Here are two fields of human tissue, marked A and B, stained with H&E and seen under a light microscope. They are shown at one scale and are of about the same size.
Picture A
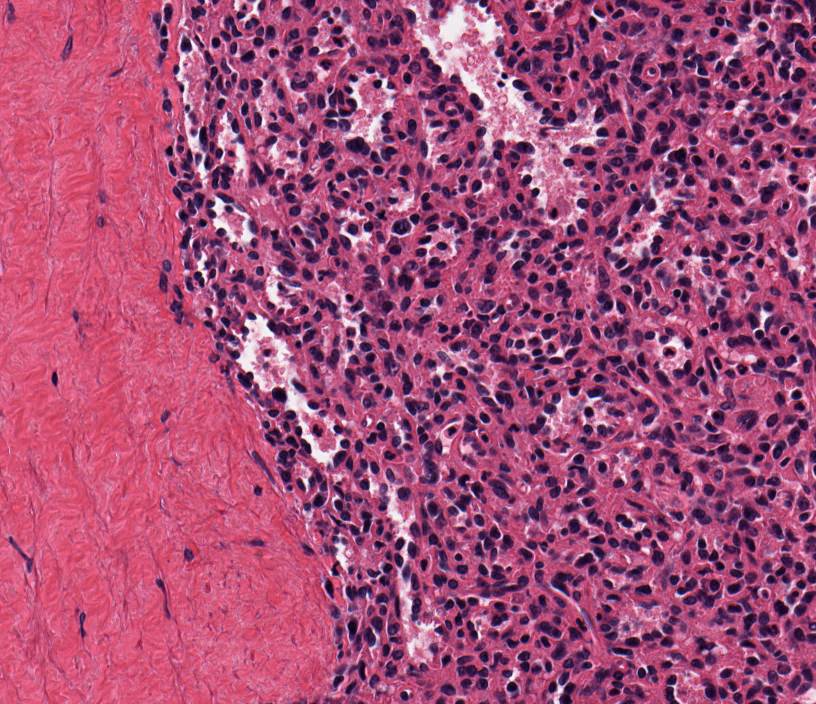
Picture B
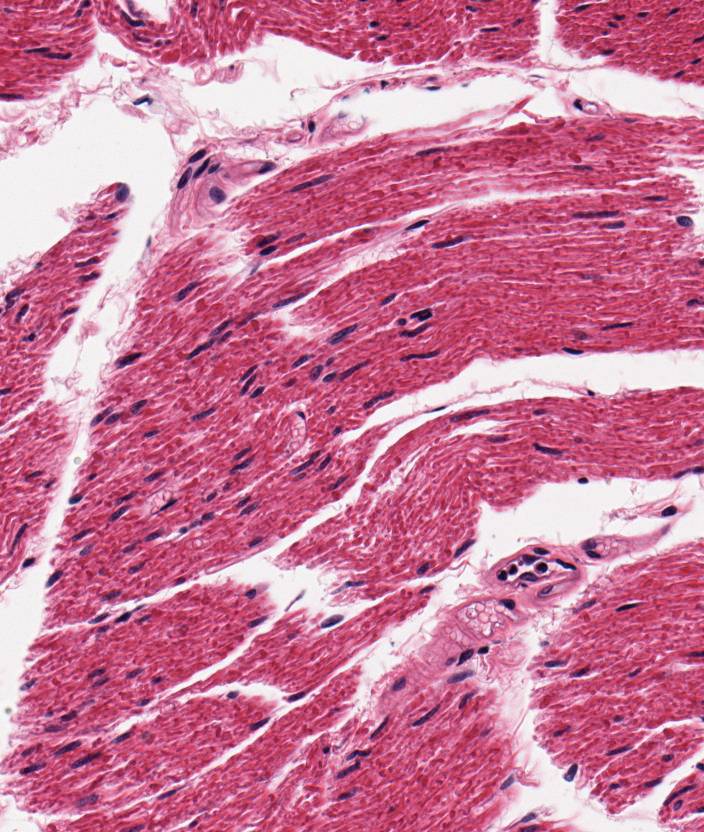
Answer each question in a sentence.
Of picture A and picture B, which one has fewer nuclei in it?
It is picture B that has fewer nuclei in it.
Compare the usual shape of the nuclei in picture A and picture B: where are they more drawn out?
Longer, more slender nuclei lie in picture B.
